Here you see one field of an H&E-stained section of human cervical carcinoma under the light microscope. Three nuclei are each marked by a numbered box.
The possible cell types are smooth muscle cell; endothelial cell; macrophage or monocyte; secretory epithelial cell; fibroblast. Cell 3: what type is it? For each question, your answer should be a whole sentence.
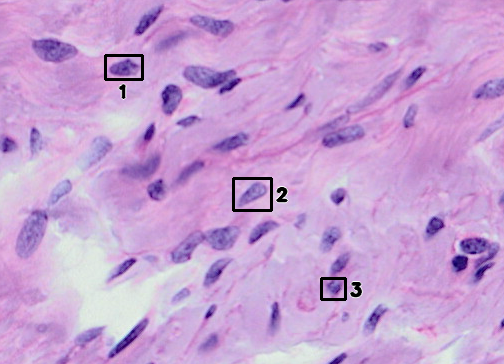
Cell 3, as marked in the section, is a smooth muscle cell.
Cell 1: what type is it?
Cell 1 in the field of view is a fibroblast.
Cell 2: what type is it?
The identity of cell 2 is that of a fibroblast.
